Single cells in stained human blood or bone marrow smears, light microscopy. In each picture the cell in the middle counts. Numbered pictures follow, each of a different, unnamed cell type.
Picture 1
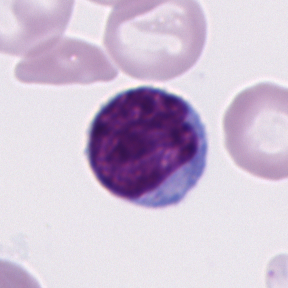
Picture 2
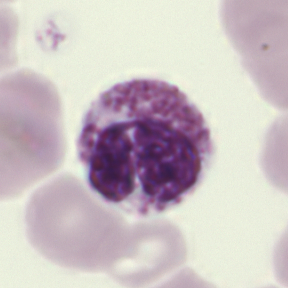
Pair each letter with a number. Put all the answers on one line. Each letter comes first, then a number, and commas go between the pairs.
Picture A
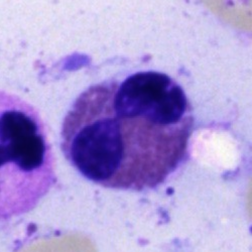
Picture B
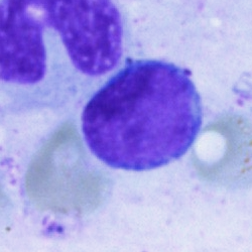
A 2, B 1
